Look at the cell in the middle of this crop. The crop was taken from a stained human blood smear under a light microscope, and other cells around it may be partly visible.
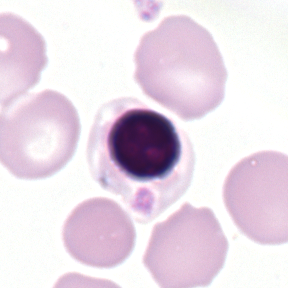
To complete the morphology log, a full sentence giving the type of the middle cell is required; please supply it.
The identification for the central cell is a normoblast.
